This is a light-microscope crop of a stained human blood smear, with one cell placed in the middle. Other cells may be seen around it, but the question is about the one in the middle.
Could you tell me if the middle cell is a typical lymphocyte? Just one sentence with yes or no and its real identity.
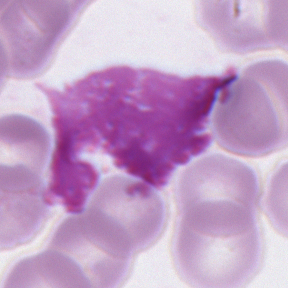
No, instead of being a typical lymphocyte, the middle cell is a smudge cell.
